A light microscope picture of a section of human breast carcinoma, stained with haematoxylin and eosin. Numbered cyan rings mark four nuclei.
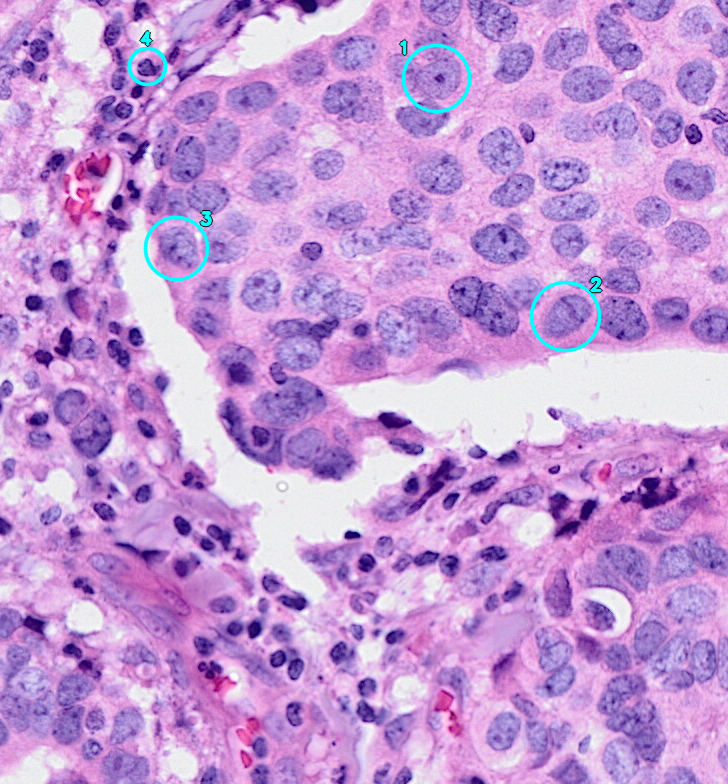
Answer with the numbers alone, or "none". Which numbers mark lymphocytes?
4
